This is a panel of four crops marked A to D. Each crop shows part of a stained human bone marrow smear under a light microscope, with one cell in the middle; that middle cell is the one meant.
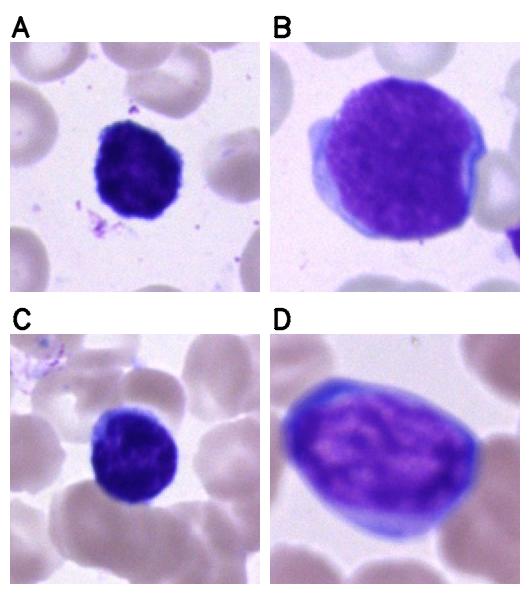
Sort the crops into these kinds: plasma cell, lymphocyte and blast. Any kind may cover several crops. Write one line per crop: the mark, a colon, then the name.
A: lymphocyte
B: blast
C: lymphocyte
D: blast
